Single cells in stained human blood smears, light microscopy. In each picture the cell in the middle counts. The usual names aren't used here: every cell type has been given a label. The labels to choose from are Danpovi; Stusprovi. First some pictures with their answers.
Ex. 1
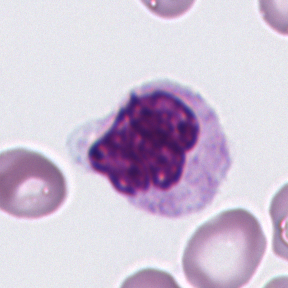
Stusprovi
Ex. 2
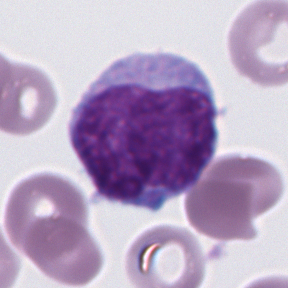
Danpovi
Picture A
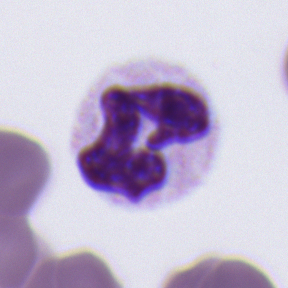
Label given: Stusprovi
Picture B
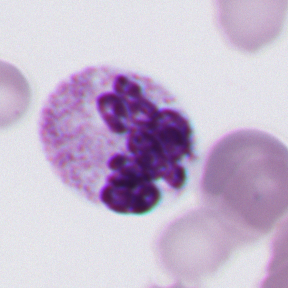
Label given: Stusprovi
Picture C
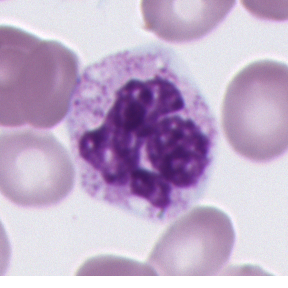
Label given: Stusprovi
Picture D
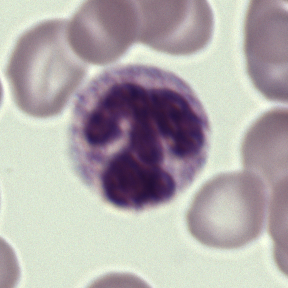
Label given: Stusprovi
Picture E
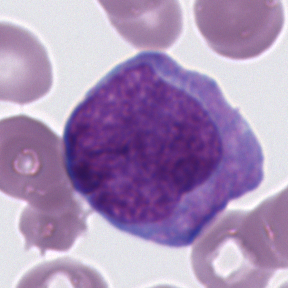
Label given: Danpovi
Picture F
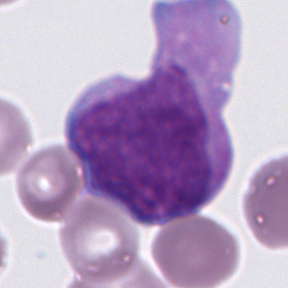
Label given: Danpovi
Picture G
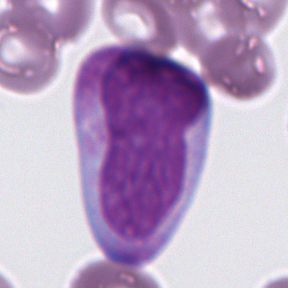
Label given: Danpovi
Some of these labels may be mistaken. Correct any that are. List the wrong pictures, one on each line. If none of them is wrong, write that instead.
All labels are correct.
